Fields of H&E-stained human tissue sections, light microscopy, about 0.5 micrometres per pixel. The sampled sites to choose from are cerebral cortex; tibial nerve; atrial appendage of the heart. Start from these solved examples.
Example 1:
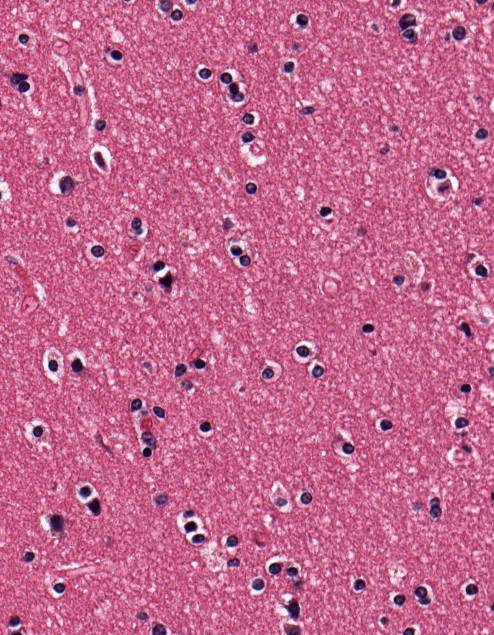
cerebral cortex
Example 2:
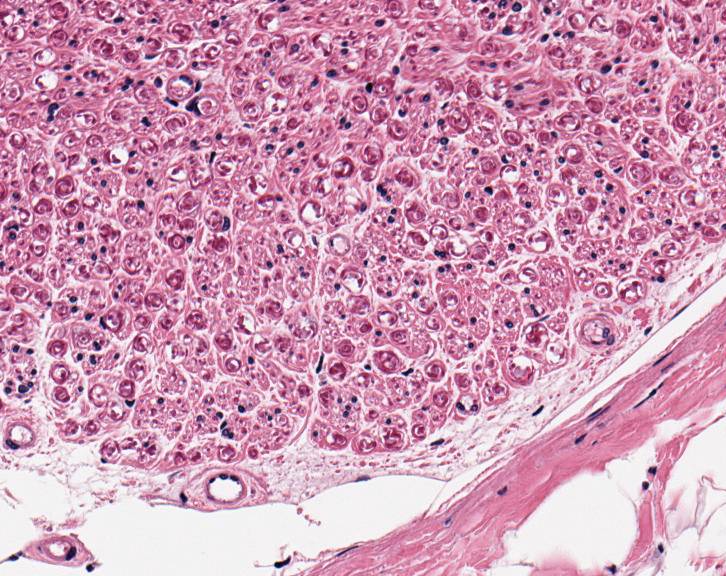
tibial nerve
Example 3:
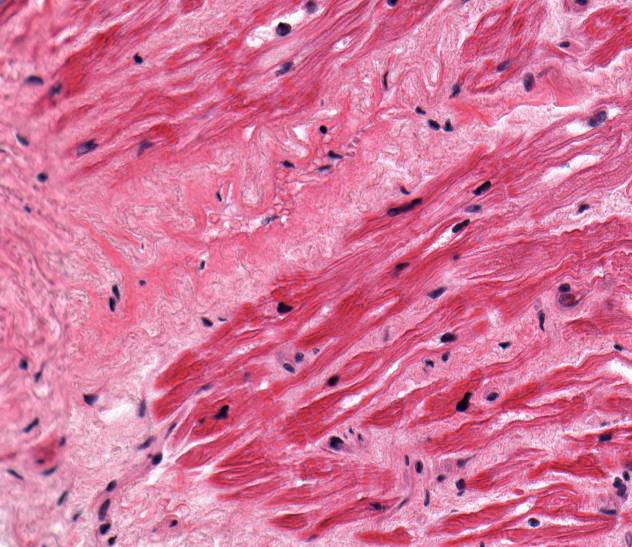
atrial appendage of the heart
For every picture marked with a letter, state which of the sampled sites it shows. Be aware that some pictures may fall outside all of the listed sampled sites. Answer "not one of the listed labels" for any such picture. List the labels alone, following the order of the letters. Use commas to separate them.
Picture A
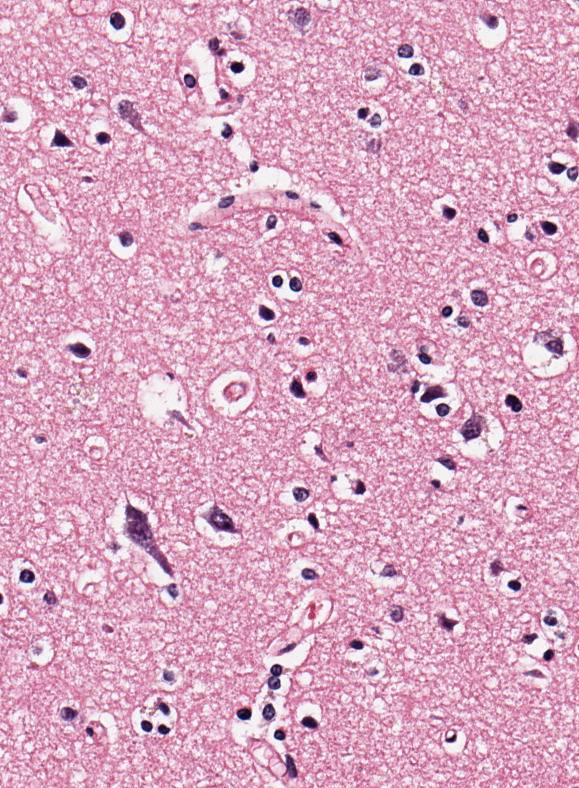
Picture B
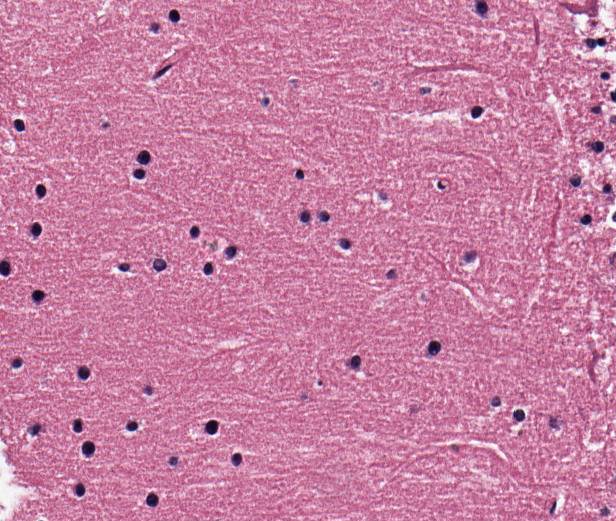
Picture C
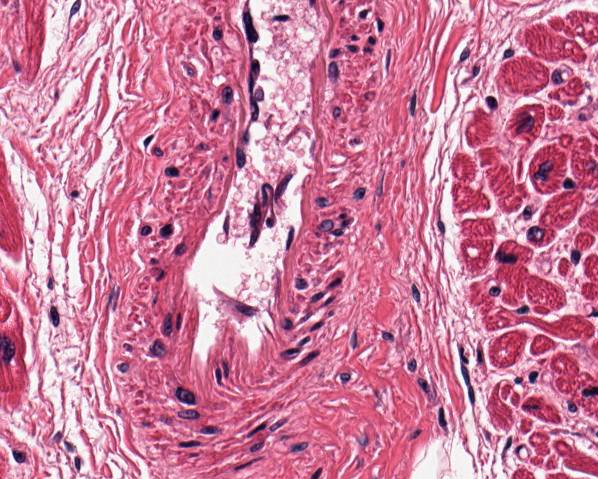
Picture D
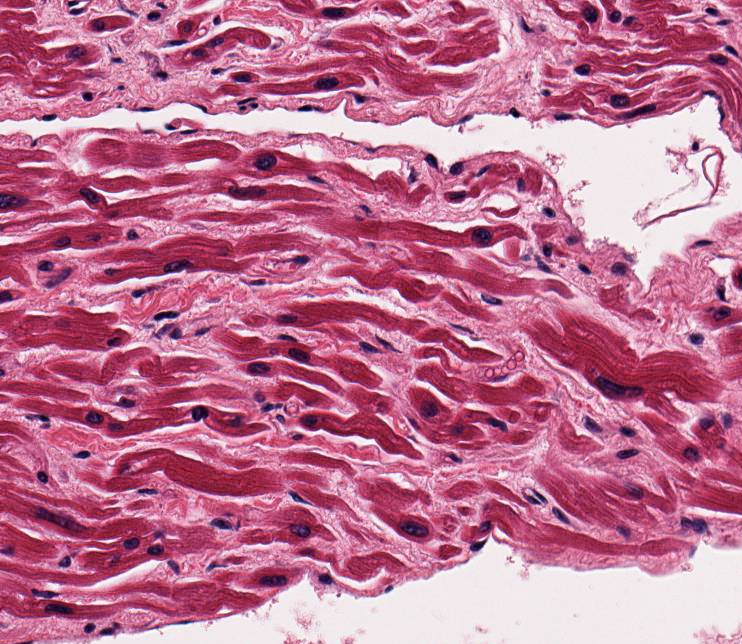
cerebral cortex, not one of the listed labels, atrial appendage of the heart, atrial appendage of the heart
